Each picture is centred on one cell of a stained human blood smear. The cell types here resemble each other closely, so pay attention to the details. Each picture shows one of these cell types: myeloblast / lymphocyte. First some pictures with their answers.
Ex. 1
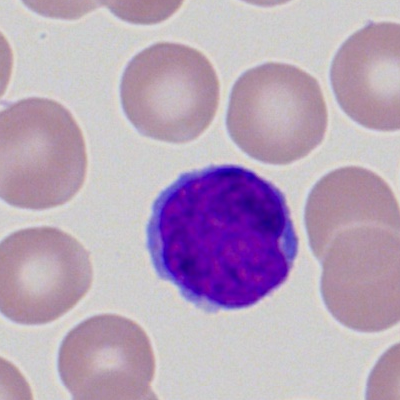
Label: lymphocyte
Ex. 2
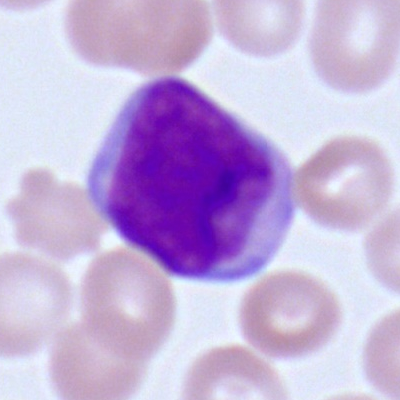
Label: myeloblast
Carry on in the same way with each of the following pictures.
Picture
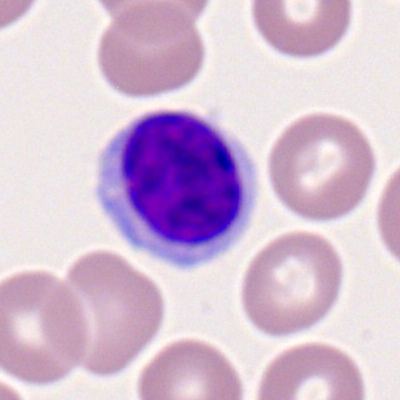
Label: lymphocyte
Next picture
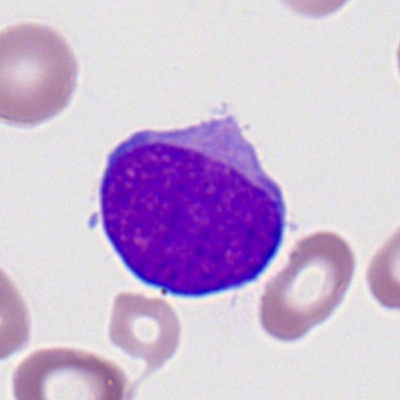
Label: myeloblast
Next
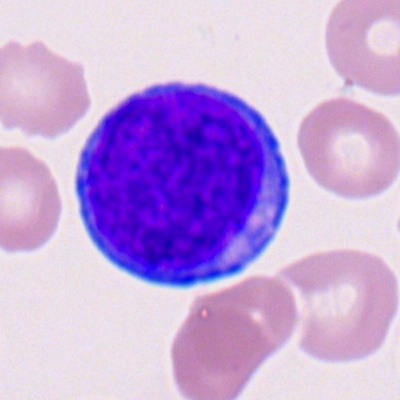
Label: myeloblast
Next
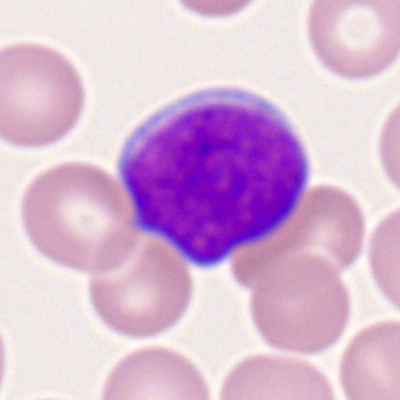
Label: myeloblast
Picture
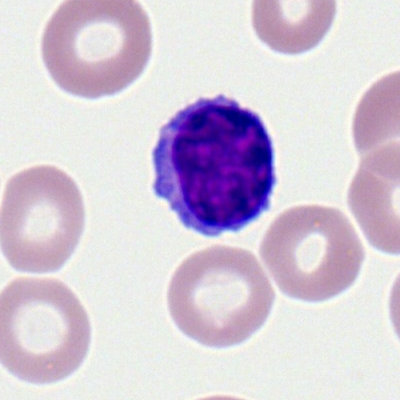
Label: lymphocyte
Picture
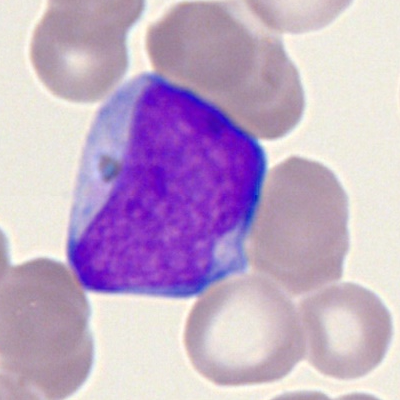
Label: myeloblast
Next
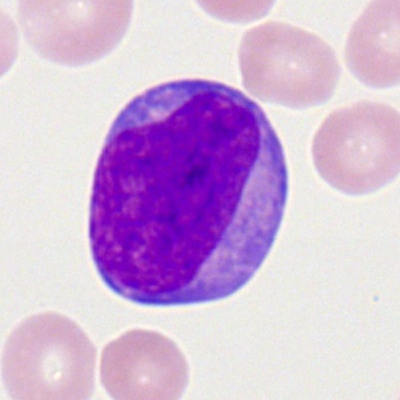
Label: myeloblast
